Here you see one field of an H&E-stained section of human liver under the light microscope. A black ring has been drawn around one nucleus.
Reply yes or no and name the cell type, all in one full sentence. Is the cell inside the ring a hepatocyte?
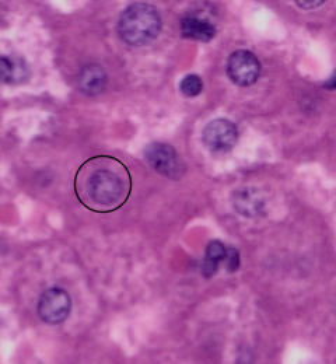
Yes, the cell inside the ring is a hepatocyte in this section.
